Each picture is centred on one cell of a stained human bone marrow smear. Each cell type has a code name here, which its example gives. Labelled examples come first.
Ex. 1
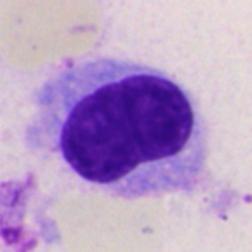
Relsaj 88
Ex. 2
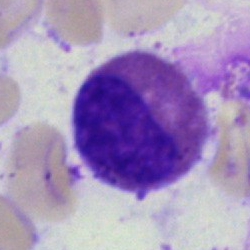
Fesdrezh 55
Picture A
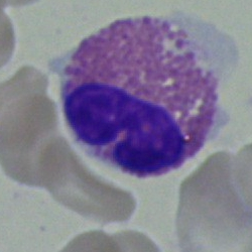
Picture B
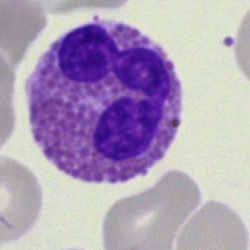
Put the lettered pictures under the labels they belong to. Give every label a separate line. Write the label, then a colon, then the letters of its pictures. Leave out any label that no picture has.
Fesdrezh 55: A, B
